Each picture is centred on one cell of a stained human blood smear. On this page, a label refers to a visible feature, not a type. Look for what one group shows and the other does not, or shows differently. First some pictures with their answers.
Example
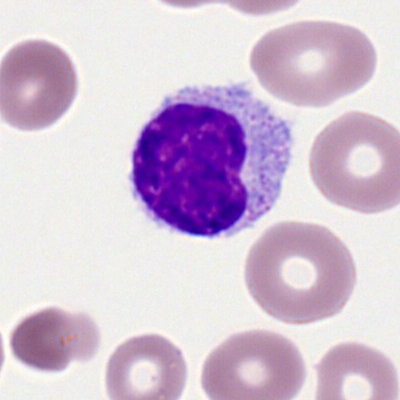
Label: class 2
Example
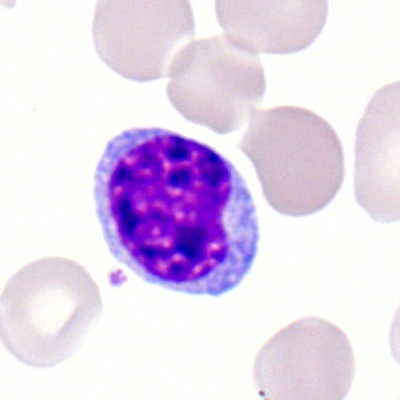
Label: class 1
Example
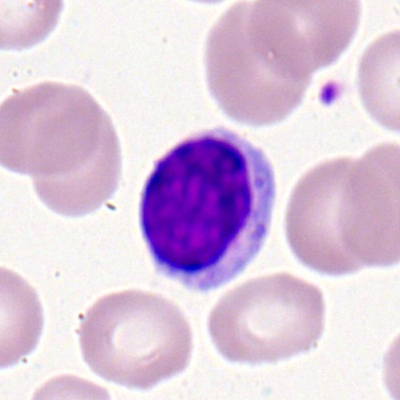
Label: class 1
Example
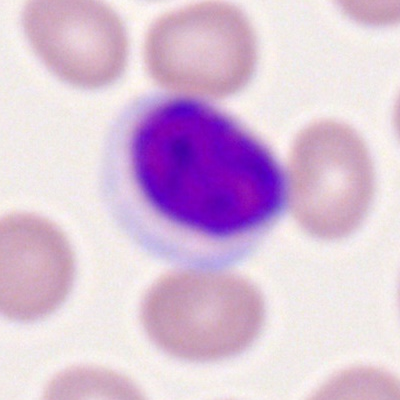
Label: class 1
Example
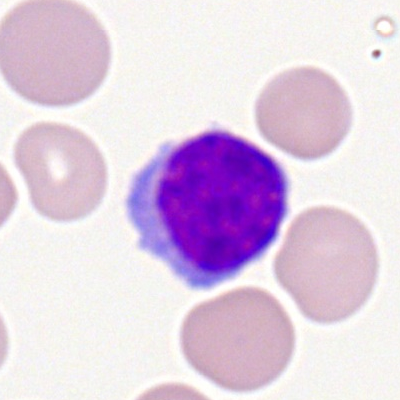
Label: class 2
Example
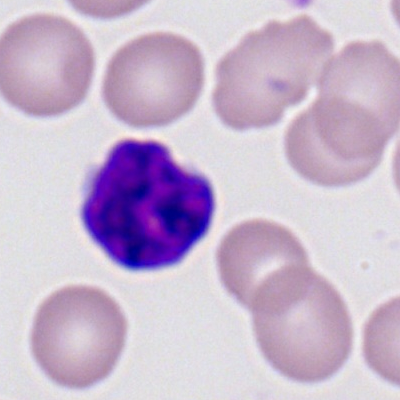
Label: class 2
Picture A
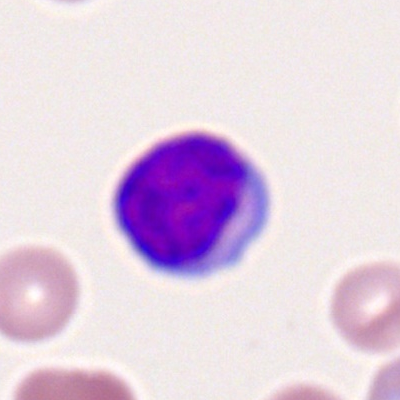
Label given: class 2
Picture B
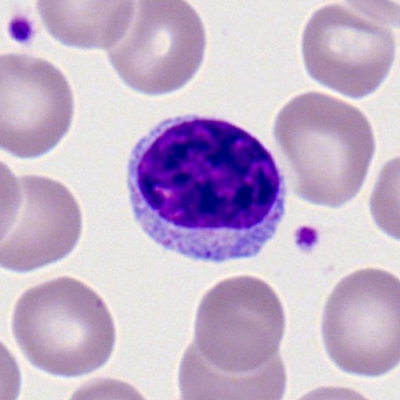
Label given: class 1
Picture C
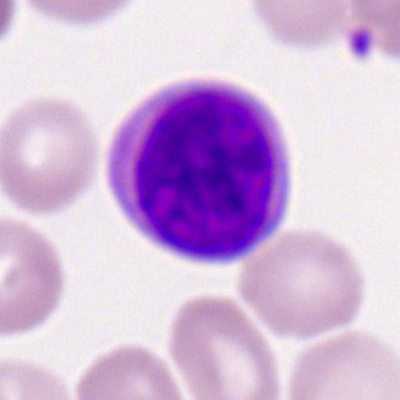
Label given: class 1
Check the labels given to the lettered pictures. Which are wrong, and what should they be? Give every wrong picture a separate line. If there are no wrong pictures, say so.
A is labelled class 2; correct label: class 1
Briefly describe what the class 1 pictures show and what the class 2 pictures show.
class 1, smooth outline; class 2, ragged outline or projections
